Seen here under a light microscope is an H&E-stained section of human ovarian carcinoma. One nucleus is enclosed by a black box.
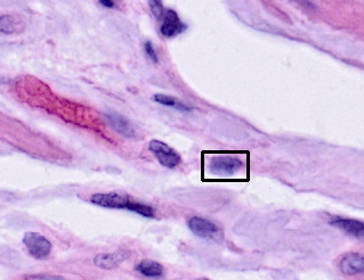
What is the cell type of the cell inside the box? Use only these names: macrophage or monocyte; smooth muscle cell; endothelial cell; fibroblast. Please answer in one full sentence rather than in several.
As classified here, the cell inside the box is a macrophage or monocyte.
